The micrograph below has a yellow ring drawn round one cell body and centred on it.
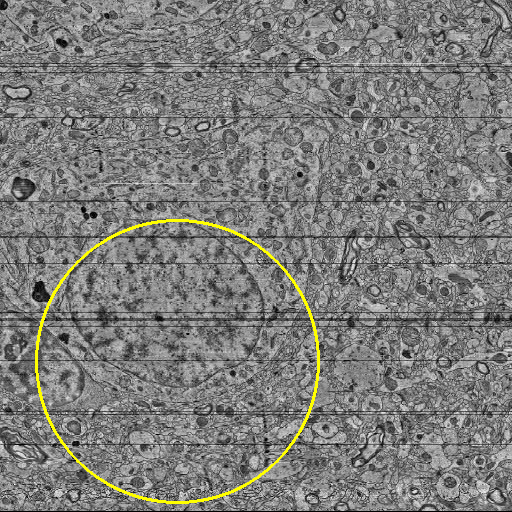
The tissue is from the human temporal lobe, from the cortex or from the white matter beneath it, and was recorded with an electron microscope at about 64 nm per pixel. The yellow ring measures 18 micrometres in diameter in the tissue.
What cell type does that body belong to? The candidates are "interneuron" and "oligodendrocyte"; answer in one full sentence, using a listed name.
This is an interneuron, the cell whose body lies at the centre of the ring.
